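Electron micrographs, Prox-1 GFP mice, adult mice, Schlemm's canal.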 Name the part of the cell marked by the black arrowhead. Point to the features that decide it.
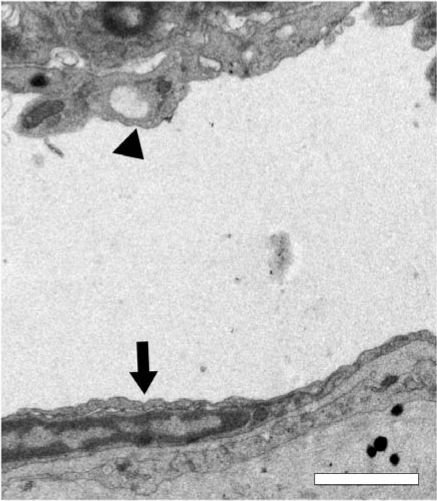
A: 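Giant vacuole. The arrowhead points to a rounded clear space enclosed within a thin cell layer. The structure bulges from the upper wall into the lumen.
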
